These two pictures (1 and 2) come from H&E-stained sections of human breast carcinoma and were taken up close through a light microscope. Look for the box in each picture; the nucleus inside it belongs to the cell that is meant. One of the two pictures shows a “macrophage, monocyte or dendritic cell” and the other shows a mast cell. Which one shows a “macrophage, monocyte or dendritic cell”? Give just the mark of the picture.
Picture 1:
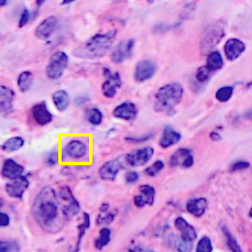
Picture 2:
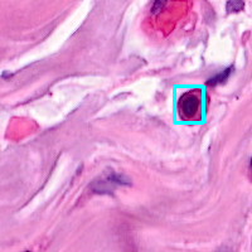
1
